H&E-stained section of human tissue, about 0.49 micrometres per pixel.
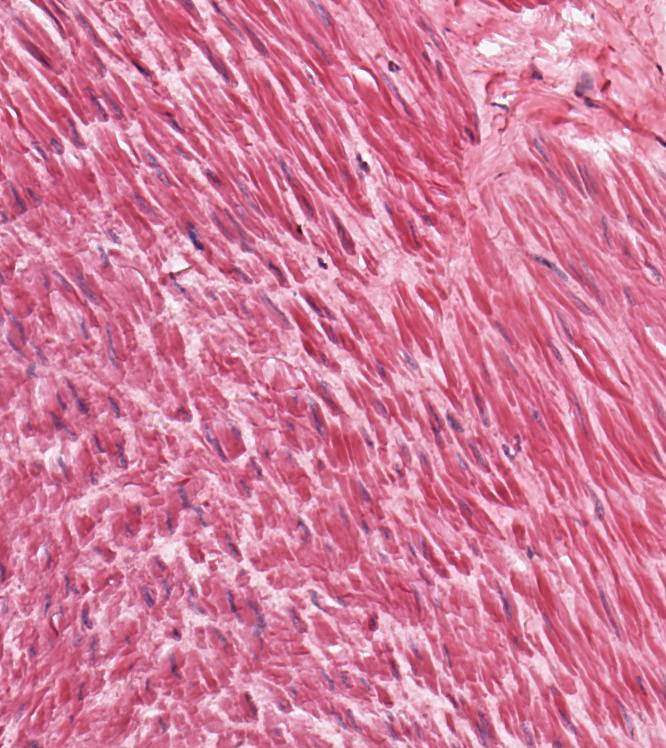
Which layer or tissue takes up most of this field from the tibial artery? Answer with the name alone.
tunica media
